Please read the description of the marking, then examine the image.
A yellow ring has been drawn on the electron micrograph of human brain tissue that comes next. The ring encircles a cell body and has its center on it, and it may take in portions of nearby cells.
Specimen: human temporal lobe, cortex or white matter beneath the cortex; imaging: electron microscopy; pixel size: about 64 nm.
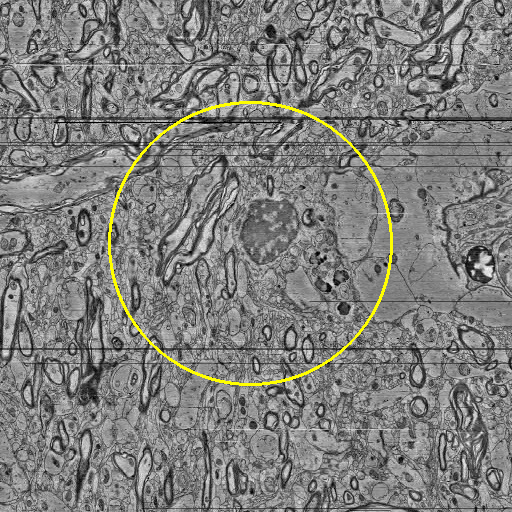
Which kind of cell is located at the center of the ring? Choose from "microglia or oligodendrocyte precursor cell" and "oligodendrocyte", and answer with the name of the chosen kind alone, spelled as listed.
microglia or oligodendrocyte precursor cell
